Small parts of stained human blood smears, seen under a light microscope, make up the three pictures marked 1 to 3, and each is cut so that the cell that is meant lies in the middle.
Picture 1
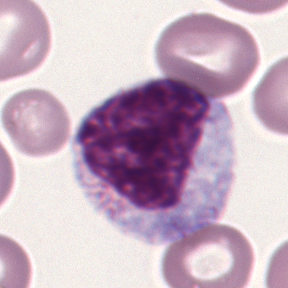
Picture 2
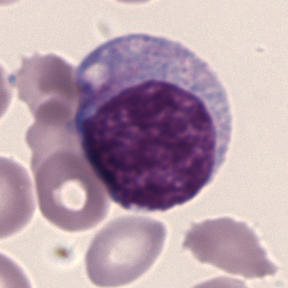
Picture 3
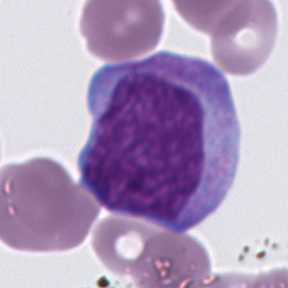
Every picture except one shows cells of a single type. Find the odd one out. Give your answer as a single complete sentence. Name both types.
Picture 3 is the odd one out: it shows an atypical promyelocyte, while the others show myelocytes.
